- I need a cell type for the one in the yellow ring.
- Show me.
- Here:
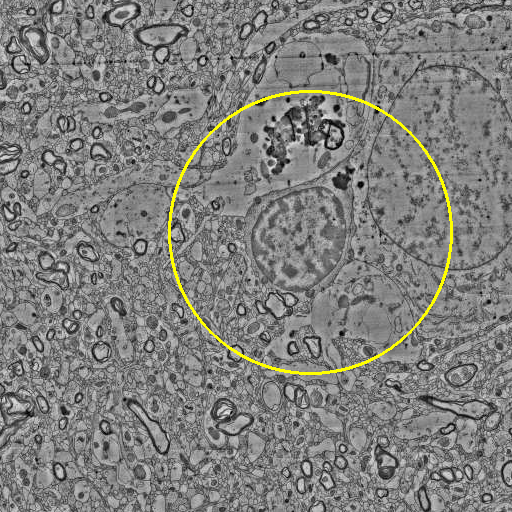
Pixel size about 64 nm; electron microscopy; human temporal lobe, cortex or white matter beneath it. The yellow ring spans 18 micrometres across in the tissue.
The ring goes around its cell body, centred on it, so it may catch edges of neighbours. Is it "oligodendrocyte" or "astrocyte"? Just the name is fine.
oligodendrocyte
